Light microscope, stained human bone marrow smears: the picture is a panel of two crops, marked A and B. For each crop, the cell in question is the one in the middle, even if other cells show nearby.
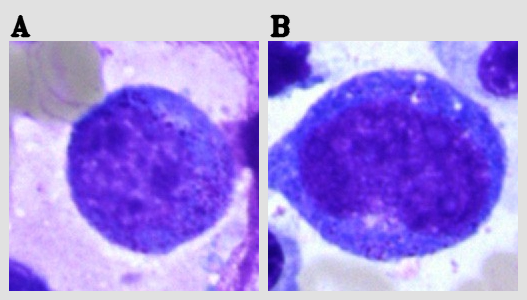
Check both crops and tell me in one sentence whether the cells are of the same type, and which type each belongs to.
Yes, both crops show a cell each, and these are promyelocytes.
